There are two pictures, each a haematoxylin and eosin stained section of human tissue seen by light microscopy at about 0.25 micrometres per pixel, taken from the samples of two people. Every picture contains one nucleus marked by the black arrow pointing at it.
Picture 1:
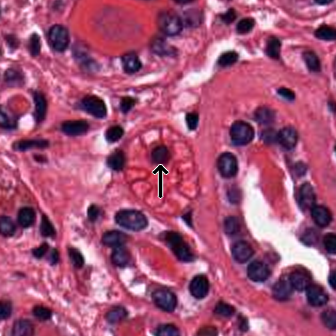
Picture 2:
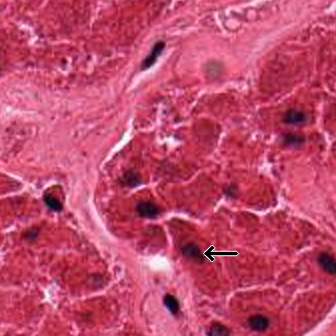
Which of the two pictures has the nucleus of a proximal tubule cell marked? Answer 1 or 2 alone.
2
